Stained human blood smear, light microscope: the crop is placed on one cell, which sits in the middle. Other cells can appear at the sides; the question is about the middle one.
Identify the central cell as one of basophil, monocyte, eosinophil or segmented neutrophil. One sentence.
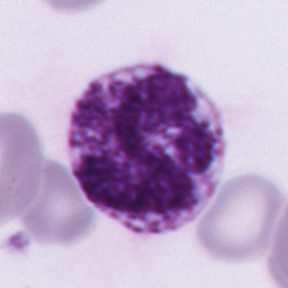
What the crop centres on is a basophil.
